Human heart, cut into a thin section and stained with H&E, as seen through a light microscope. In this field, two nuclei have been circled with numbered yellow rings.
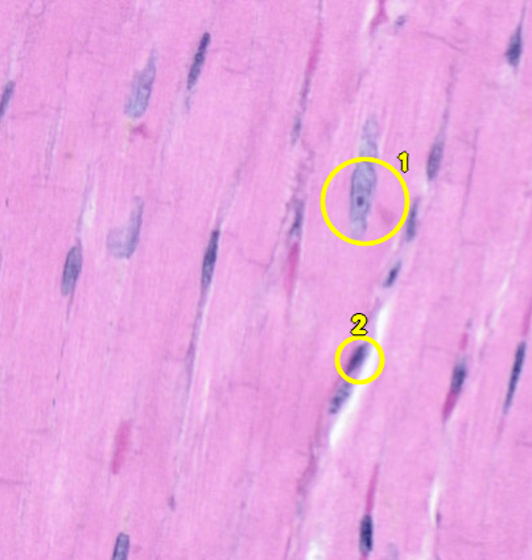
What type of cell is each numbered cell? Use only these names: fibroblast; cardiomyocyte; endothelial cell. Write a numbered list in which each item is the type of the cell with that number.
1. cardiomyocyte
2. endothelial cell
